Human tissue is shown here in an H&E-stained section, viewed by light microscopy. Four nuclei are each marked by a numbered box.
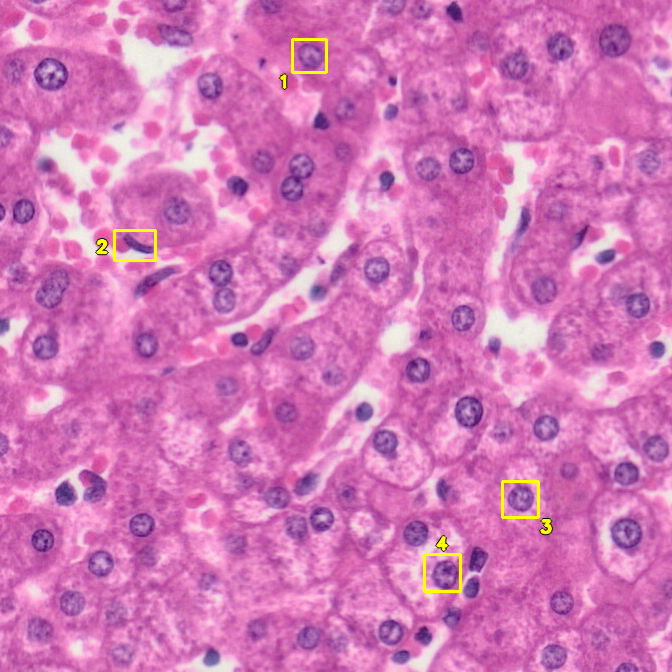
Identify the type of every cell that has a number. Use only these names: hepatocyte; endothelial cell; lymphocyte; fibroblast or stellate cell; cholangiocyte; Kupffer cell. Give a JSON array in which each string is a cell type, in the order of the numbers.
["hepatocyte", "endothelial cell", "hepatocyte", "hepatocyte"]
